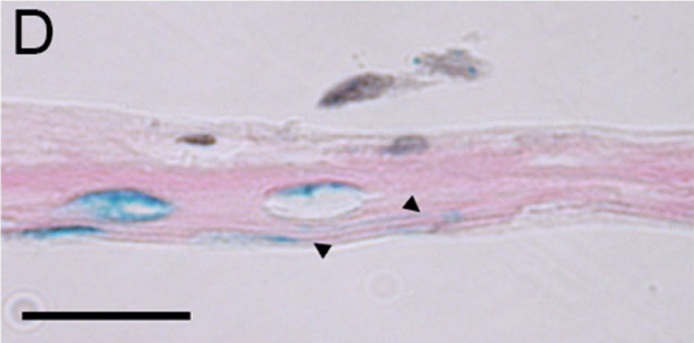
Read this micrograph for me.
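A thin sheet of pink-staining matrix contains blue-stained osteocytes lying in oval spaces embedded within the matrix. Some of these cells send thin blue processes along the matrix. On the upper surface lie a few flattened cells with purplish nuclei that are not blue.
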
